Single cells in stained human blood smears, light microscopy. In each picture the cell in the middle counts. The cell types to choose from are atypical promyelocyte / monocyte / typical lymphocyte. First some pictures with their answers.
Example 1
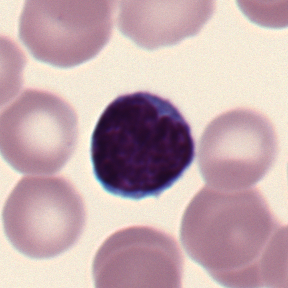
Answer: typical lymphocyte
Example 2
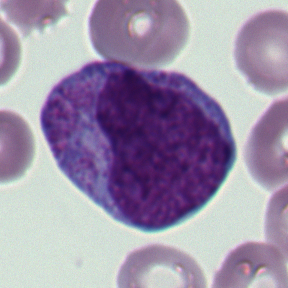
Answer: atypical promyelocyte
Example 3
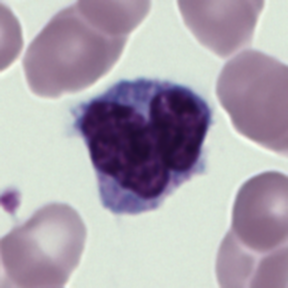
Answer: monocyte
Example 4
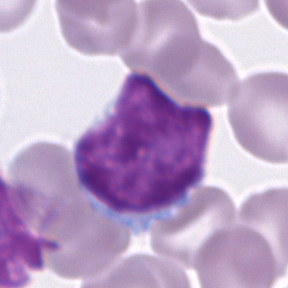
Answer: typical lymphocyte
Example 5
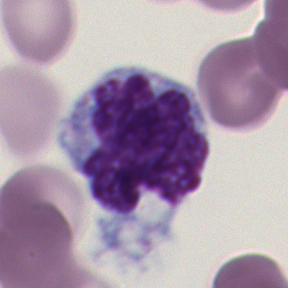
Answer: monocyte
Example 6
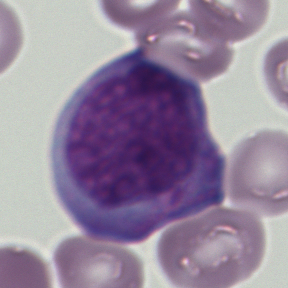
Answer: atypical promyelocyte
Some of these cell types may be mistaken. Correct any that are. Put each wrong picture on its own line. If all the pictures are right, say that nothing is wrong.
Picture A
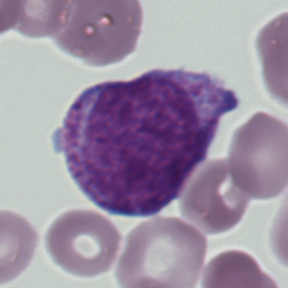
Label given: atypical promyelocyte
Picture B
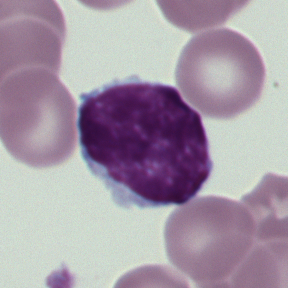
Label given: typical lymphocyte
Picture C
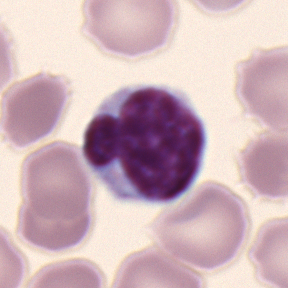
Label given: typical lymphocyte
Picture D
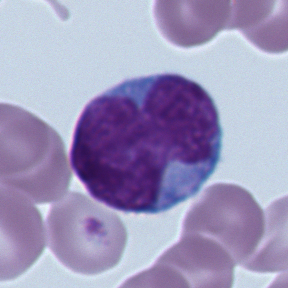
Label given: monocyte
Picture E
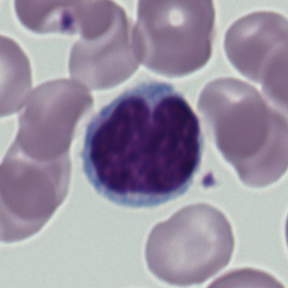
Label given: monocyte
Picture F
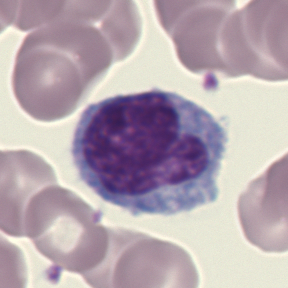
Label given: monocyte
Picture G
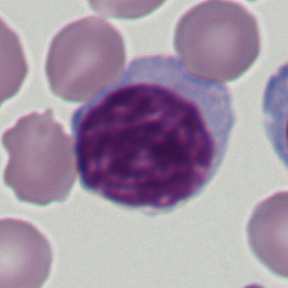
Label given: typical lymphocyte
E is labelled monocyte; correct label: typical lymphocyte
